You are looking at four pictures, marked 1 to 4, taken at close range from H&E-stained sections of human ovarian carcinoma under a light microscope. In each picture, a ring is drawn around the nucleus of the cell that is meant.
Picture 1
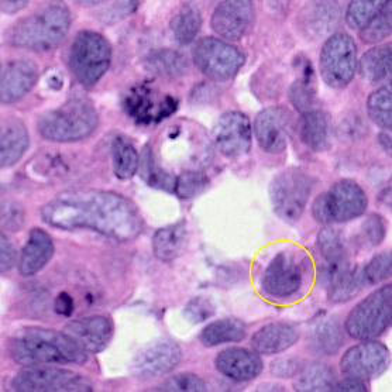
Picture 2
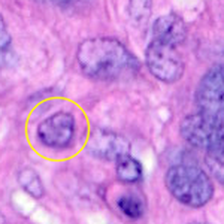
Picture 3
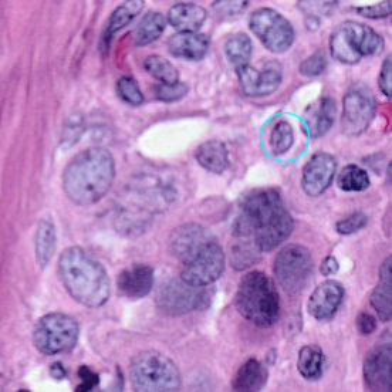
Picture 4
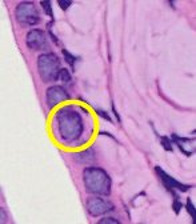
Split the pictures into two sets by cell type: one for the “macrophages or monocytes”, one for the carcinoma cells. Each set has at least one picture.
1: carcinoma cell
2: macrophage or monocyte
3: macrophage or monocyte
4: carcinoma cell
